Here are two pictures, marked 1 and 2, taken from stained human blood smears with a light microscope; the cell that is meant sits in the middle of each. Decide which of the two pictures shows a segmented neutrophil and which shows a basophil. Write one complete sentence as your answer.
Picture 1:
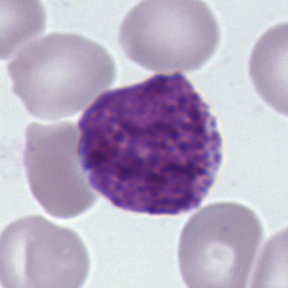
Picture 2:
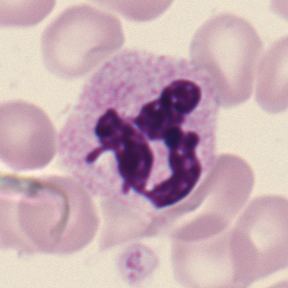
Picture 1 shows a basophil and picture 2 shows a segmented neutrophil.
